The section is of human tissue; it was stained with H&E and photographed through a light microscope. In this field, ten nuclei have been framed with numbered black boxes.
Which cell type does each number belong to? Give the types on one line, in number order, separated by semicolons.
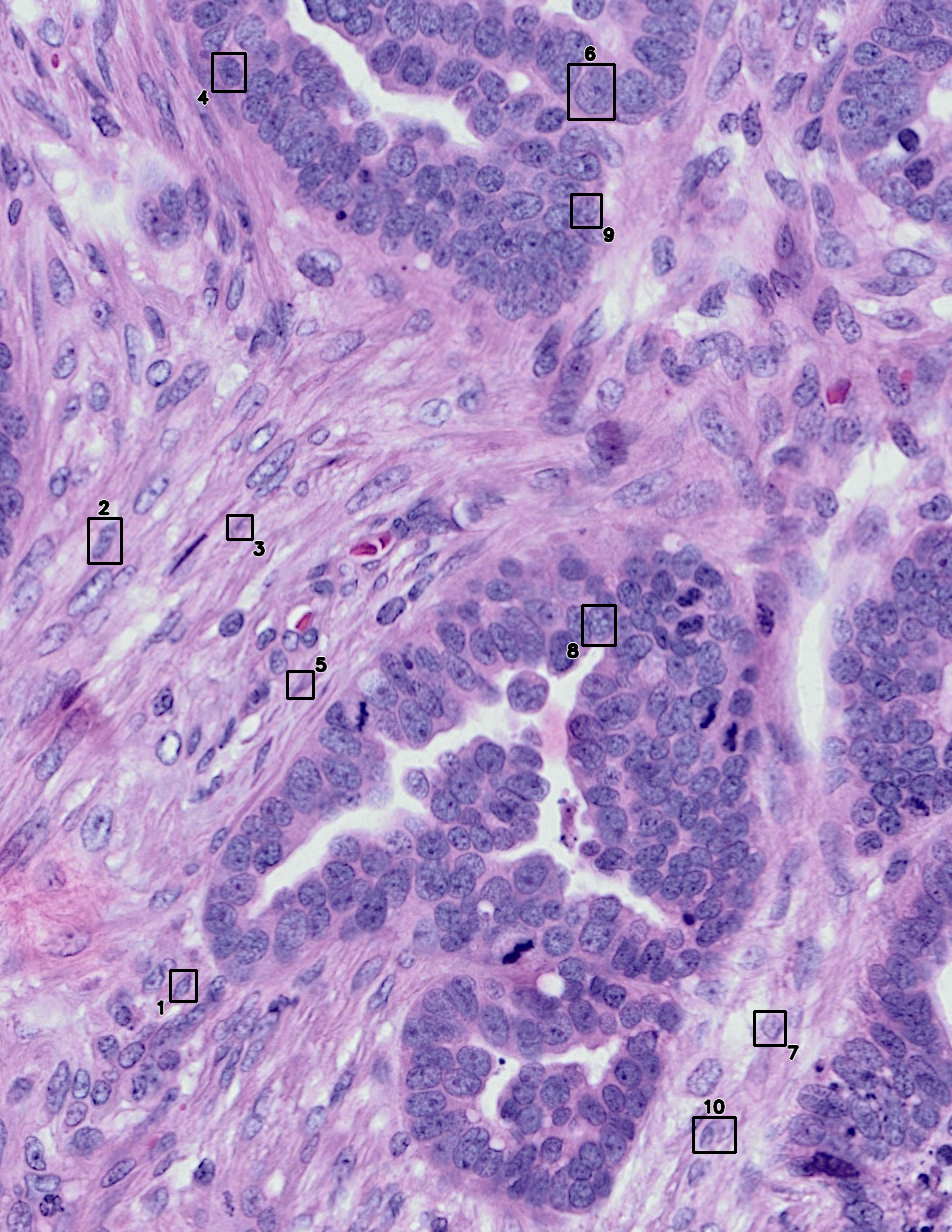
fibroblast; fibroblast; fibroblast; carcinoma cell; fibroblast; carcinoma cell; fibroblast; carcinoma cell; carcinoma cell; fibroblast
